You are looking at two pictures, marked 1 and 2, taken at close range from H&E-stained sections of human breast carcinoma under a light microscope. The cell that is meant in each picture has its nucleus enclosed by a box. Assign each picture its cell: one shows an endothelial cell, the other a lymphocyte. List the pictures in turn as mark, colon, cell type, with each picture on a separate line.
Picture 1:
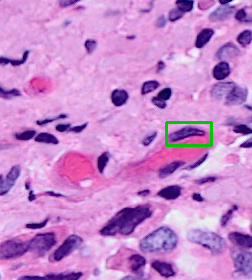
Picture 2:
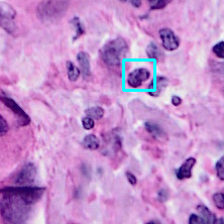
1: endothelial cell
2: lymphocyte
